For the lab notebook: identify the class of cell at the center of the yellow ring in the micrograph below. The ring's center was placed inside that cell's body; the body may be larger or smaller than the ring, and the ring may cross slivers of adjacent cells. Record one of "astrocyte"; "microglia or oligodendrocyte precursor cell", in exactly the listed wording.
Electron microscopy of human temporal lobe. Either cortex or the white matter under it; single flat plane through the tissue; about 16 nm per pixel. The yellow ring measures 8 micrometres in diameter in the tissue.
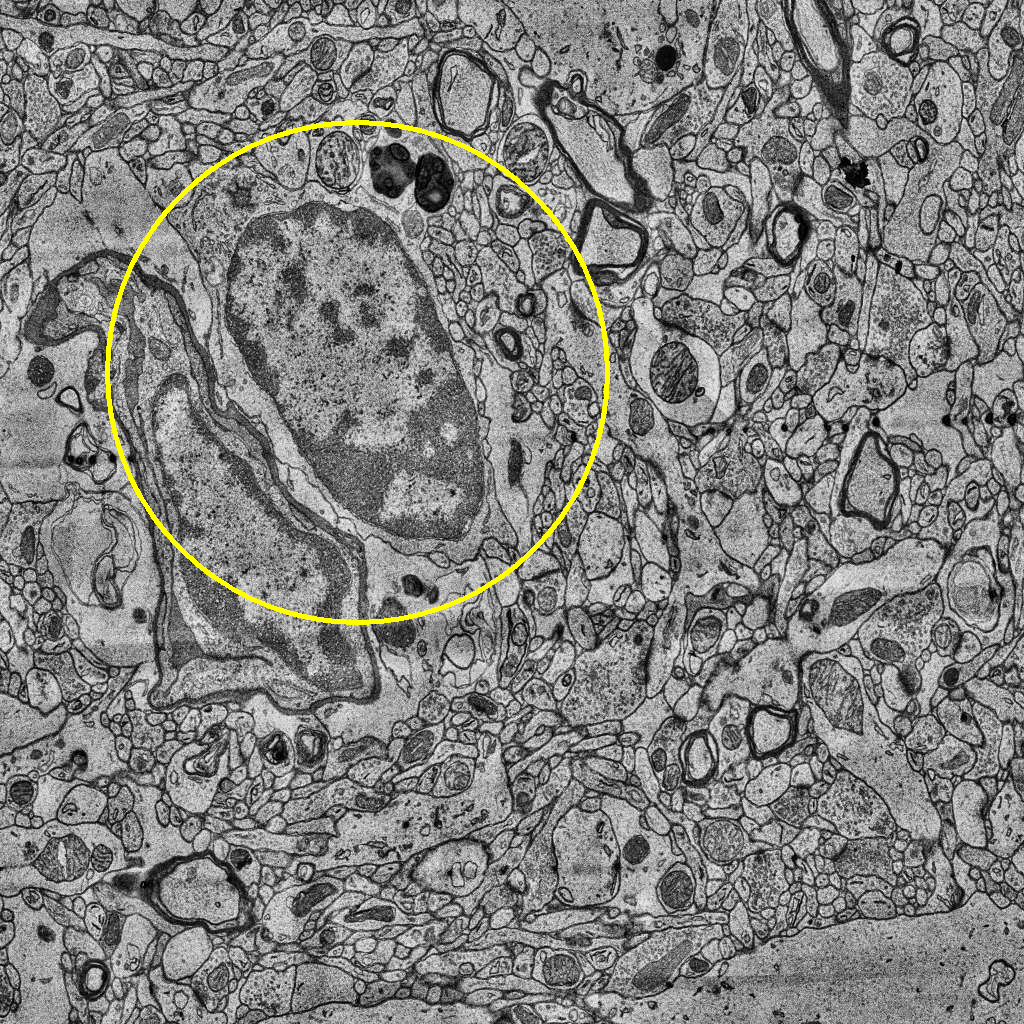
microglia or oligodendrocyte precursor cell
